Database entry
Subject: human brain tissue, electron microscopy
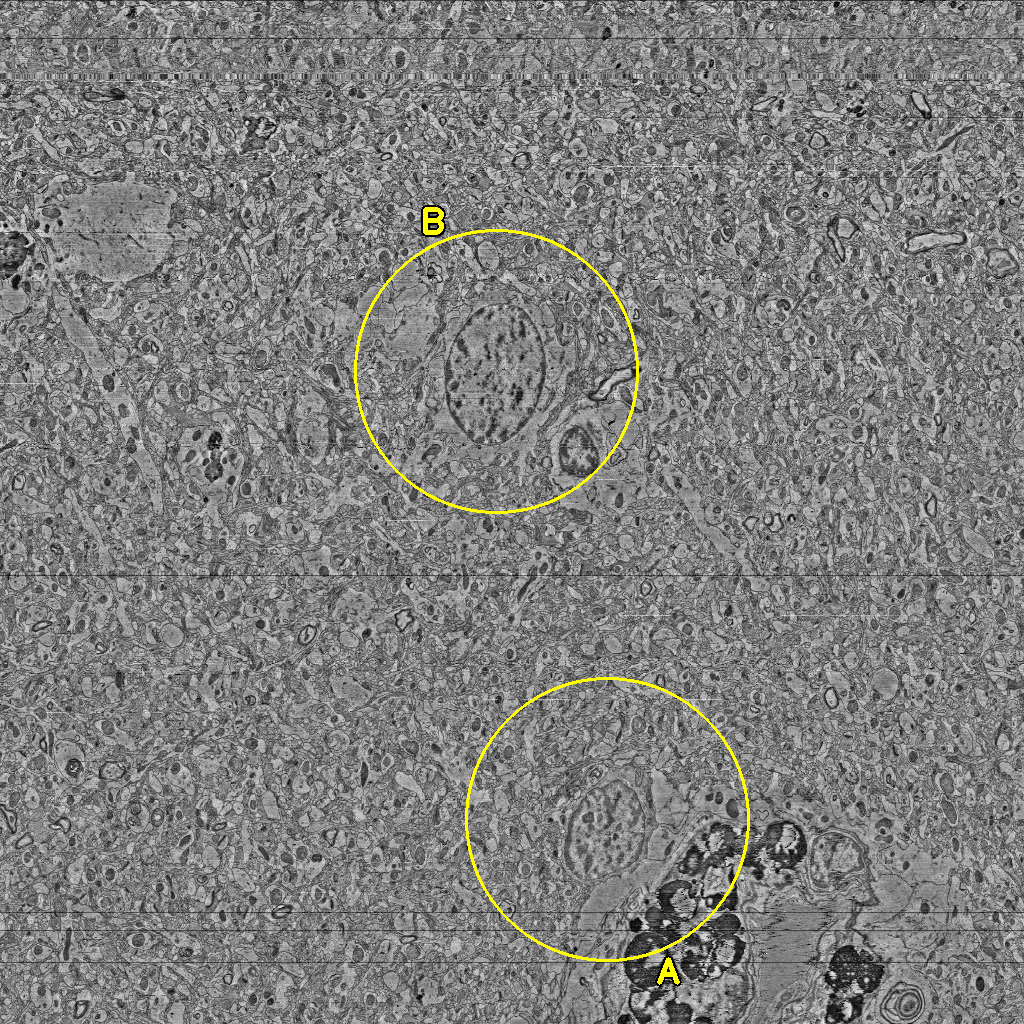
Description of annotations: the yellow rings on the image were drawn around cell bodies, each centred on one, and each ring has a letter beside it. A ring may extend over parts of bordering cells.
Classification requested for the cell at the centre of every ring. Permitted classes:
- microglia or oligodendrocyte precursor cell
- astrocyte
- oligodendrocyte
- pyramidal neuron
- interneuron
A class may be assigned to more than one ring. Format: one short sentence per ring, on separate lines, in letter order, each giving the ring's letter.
The cell body at the centre of ring A is an oligodendrocyte.
The cell body at the centre of ring B is an astrocyte.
